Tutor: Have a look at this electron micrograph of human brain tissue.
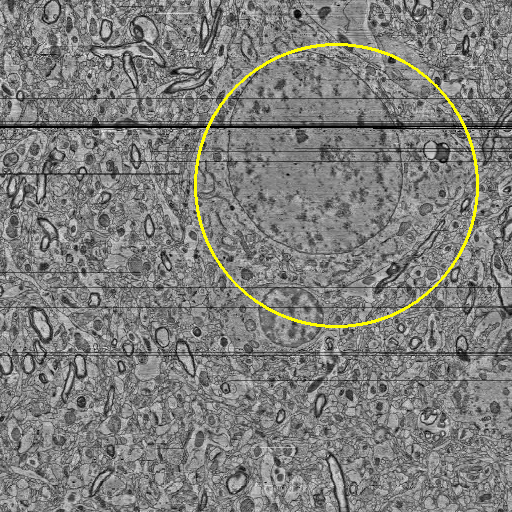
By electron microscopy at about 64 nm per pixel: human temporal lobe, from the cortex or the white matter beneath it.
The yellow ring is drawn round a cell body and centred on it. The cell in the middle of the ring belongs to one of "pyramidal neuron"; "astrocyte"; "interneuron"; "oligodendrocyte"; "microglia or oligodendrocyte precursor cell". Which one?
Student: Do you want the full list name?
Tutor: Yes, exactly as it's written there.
pyramidal neuron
